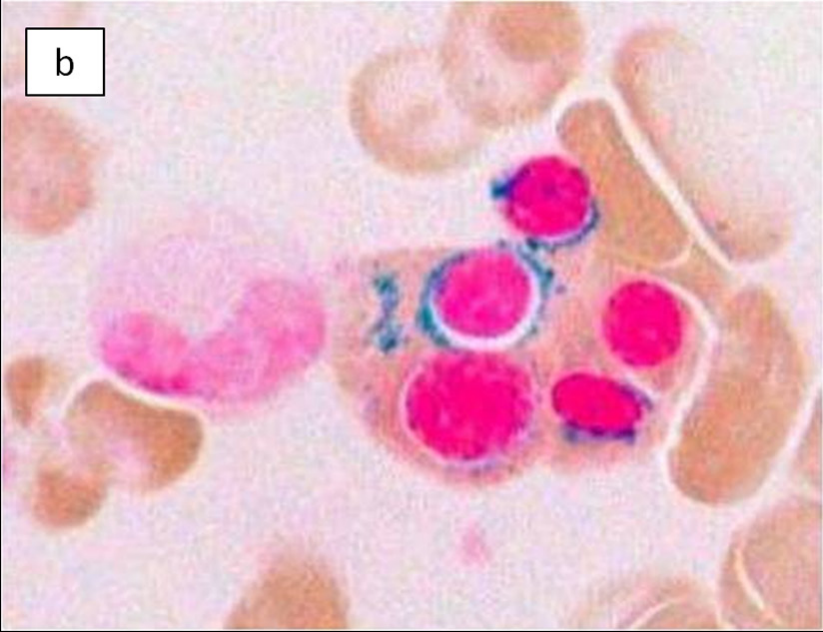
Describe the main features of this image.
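This is a bone marrow smear showing erythroid precursors, among them ringed sideroblasts. The nuclei are stained a bright red-pink and are round, set in pale pinkish-tan cytoplasm. Fine blue-green granules are strung around the rim of the nuclei, forming a partial ring that hugs the nuclear edge. Around them lie pale tan red cells, and to the left a paler pink lobed nucleus belongs to another cell.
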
